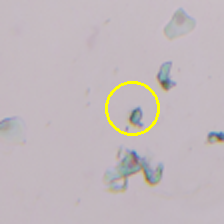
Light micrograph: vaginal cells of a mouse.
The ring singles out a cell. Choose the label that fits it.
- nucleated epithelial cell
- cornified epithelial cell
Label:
cornified epithelial cell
